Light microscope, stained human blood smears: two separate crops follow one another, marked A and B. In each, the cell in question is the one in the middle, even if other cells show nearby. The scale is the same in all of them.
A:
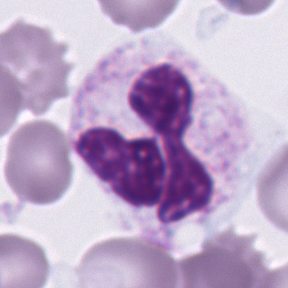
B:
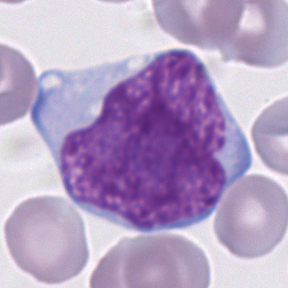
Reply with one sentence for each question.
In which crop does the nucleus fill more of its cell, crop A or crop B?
The nucleus fills more of the cell in crop B than in crop A.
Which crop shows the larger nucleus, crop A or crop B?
Crop B shows the larger nucleus; it covers about 1.5 times the area of the nucleus in crop A.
